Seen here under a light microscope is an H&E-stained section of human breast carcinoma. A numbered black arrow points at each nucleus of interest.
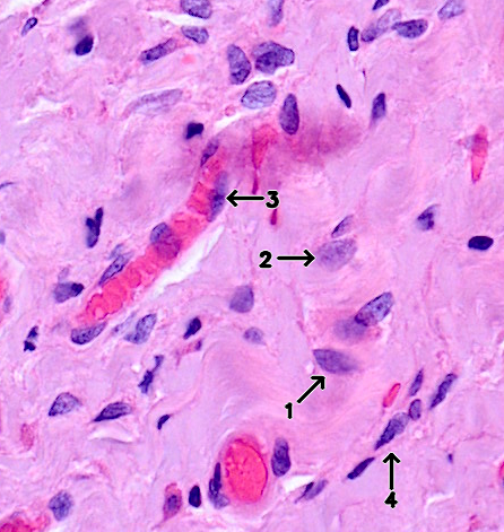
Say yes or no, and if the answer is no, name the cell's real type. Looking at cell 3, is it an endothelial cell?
Yes.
